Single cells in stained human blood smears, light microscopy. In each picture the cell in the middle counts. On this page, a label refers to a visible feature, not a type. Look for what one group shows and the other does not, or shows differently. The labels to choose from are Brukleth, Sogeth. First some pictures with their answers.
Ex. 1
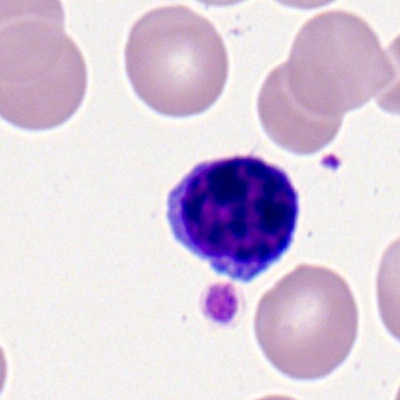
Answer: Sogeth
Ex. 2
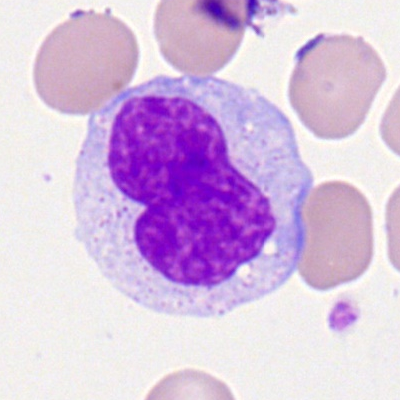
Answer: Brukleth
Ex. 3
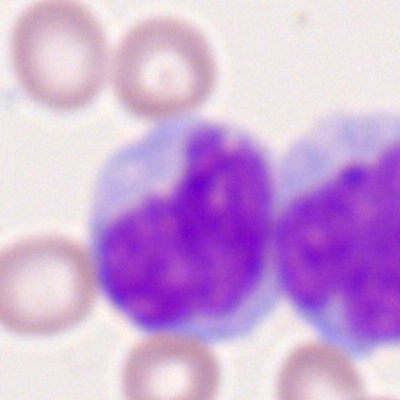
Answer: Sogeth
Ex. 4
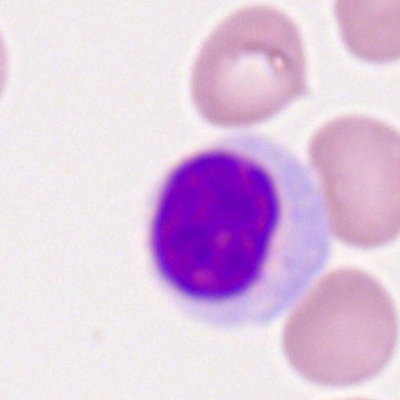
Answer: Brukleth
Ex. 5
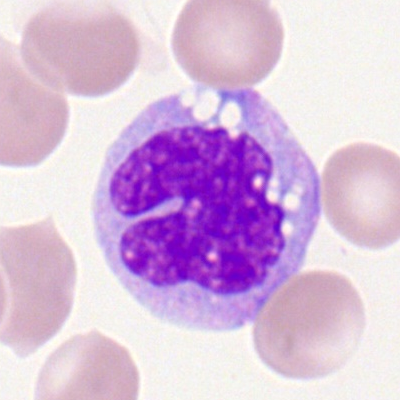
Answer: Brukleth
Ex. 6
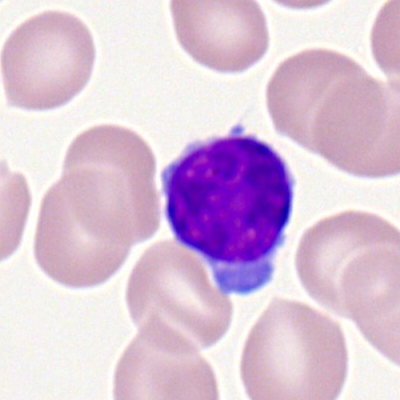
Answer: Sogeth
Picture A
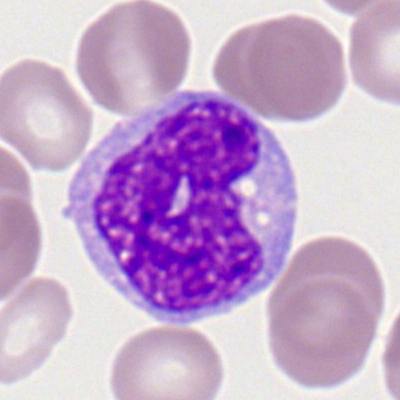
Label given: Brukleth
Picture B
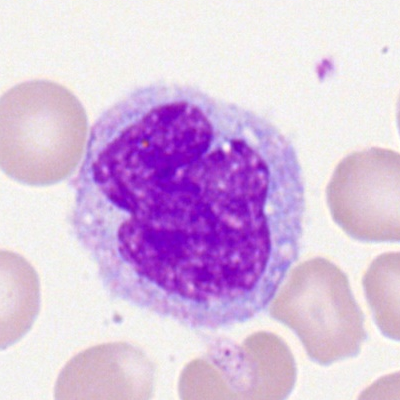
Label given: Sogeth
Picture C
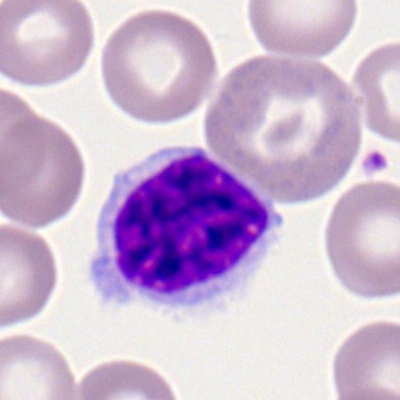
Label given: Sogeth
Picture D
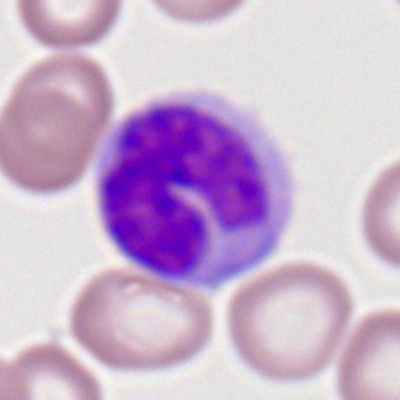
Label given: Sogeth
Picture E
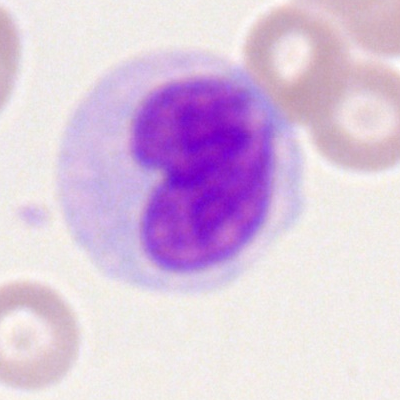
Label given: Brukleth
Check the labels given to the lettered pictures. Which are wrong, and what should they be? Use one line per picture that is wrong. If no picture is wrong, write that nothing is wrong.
A should be Sogeth, not Brukleth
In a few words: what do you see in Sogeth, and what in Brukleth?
In Sogeth: scant cytoplasm. In Brukleth: abundant cytoplasm.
